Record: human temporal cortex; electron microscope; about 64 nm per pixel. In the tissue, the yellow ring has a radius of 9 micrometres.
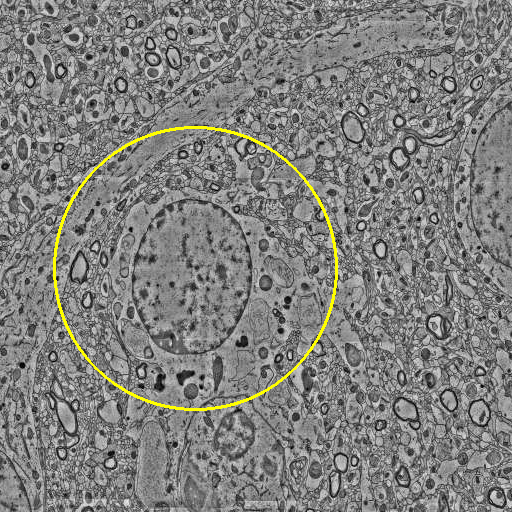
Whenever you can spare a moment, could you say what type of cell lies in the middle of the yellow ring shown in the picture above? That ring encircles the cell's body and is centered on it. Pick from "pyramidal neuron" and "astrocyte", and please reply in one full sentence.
The cell whose body sits at the middle of the yellow ring is an astrocyte.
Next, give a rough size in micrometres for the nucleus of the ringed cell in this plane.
The nucleus appears roughly 10 by 8 micrometres in this plane.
